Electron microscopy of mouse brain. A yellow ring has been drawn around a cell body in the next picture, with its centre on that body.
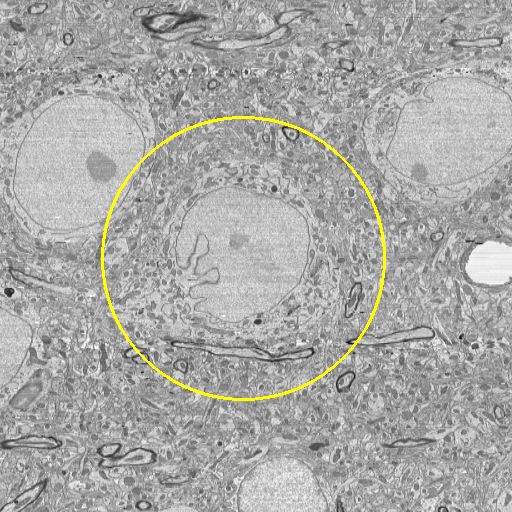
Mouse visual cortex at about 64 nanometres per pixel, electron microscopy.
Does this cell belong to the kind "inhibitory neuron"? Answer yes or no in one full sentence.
Yes, the ringed cell in this picture, sitting at the ring's centre, is of that kind.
